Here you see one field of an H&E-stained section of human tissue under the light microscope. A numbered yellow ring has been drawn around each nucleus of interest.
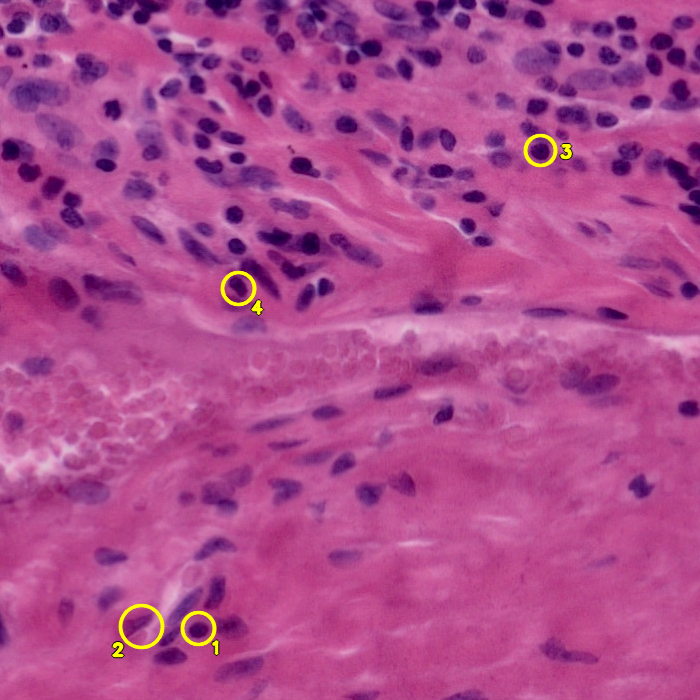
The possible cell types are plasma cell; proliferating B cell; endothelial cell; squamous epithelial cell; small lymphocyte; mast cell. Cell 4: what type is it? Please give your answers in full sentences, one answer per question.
The marked cell with the number 4 is recognised as a mast cell.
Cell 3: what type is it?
The cell numbered 3 has been identified as a plasma cell.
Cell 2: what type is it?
The nucleus marked 2 is the nucleus of an endothelial cell.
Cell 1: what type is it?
As for number 1, that cell is a mast cell.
